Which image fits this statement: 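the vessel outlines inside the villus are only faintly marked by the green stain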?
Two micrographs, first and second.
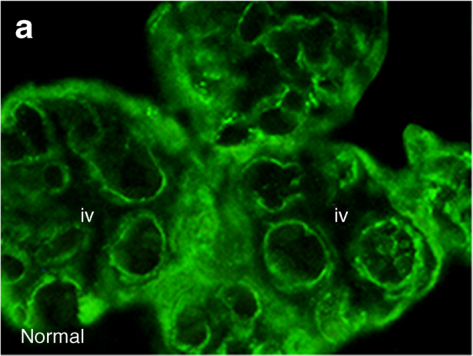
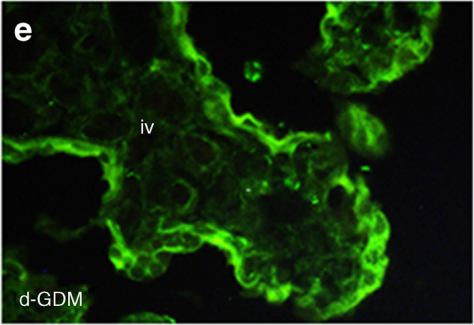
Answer: The second image.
